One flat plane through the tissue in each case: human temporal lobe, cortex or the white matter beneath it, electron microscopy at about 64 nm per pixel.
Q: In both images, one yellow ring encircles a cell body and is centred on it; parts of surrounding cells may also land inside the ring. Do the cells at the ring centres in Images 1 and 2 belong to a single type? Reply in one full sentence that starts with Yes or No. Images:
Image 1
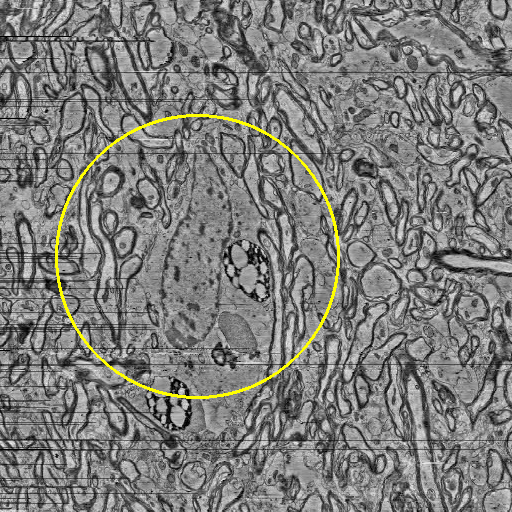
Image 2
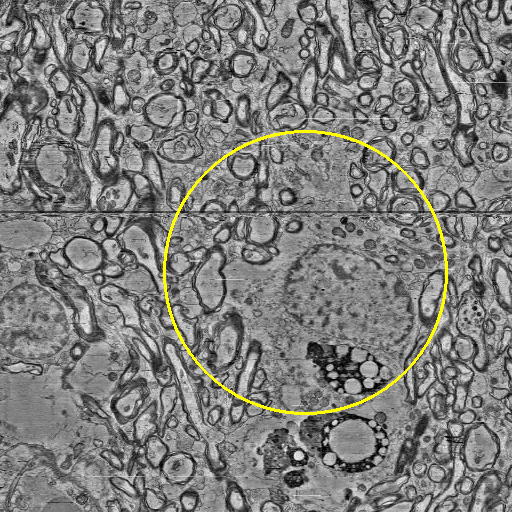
Yes, the cells at the ring centres in Images 1 and 2 are of a single type.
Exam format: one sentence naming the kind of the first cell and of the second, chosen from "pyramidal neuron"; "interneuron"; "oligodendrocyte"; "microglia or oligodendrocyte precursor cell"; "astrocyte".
Each of the two pictures has an astrocyte at the ring centre.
